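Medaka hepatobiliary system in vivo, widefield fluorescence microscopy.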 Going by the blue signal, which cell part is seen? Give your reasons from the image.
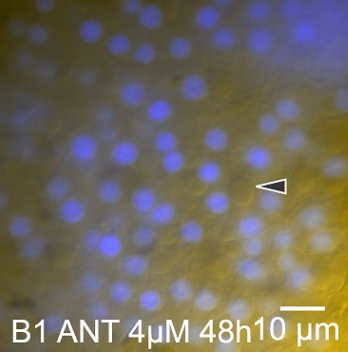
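Hepatic and biliary epithelial nuclei. Each blue spot is about the size of a cell nucleus relative to the scale bar.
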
